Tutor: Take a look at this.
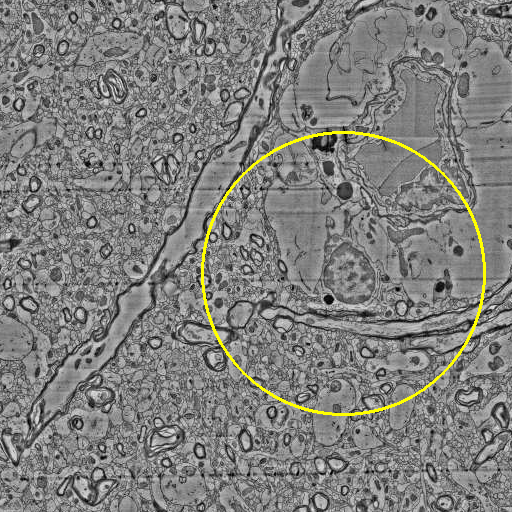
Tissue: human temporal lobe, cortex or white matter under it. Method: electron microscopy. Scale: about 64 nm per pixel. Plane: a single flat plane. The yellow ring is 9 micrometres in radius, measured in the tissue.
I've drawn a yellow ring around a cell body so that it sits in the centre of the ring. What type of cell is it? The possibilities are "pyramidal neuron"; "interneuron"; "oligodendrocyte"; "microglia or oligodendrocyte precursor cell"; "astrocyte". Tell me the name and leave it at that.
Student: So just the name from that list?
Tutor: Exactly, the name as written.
microglia or oligodendrocyte precursor cell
